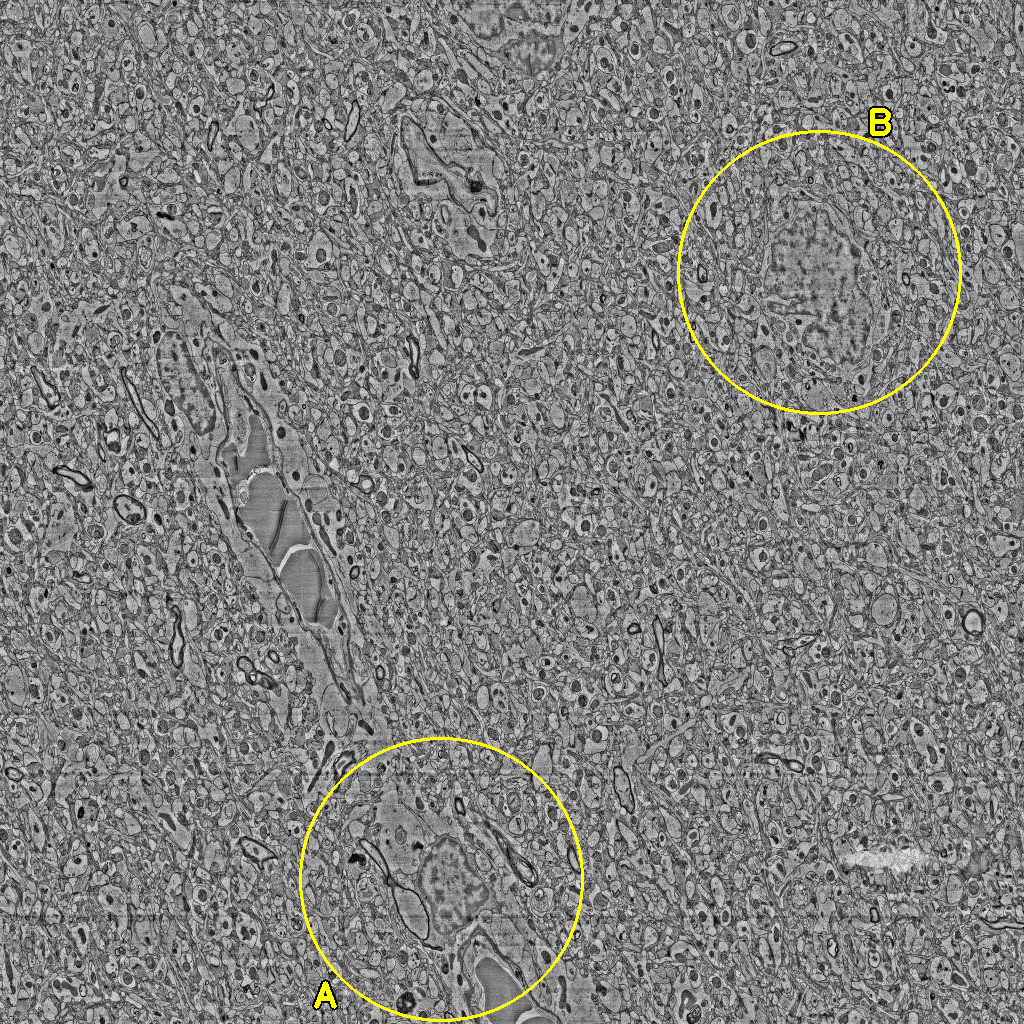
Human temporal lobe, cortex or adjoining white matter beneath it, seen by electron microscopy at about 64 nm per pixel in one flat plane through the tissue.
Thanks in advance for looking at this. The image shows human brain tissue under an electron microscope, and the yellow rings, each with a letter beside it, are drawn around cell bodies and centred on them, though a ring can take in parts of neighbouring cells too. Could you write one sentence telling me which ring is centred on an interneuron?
Ring B is centred on it.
